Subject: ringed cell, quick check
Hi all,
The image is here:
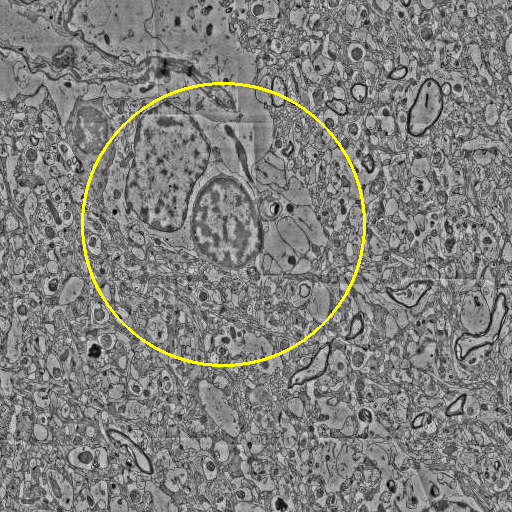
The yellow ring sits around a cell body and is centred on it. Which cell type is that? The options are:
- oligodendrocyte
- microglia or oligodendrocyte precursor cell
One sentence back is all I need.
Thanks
That ringed cell is a microglial cell or oligodendrocyte precursor cell.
